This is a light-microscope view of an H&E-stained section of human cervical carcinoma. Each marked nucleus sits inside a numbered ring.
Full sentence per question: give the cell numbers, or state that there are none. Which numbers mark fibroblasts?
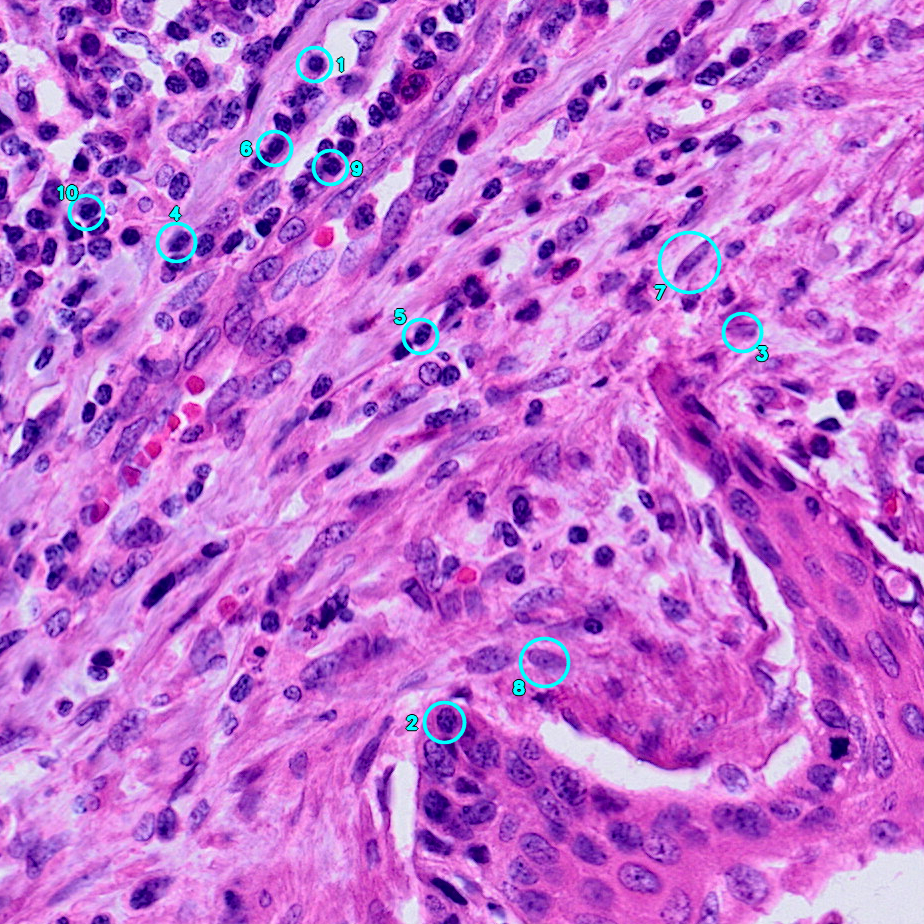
Identified as fibroblasts are the cells numbered 3, 7 and 8.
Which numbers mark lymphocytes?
The cells with the numbers 1, 4, 5, 6, 9 and 10 are lymphocytes.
